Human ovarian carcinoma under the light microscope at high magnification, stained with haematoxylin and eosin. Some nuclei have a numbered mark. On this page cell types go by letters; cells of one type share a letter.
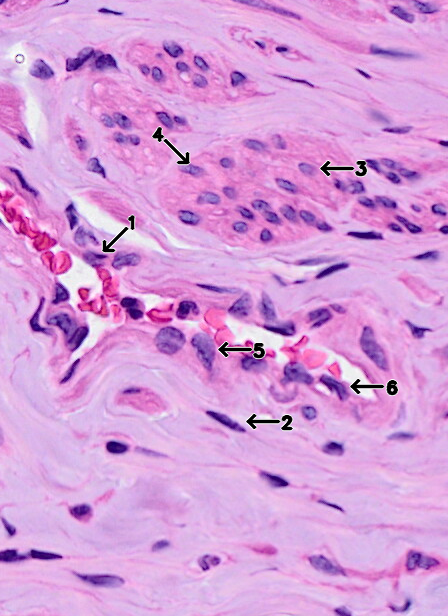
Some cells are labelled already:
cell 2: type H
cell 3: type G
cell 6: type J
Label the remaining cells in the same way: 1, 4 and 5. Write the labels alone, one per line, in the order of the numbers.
type J
type G
type J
